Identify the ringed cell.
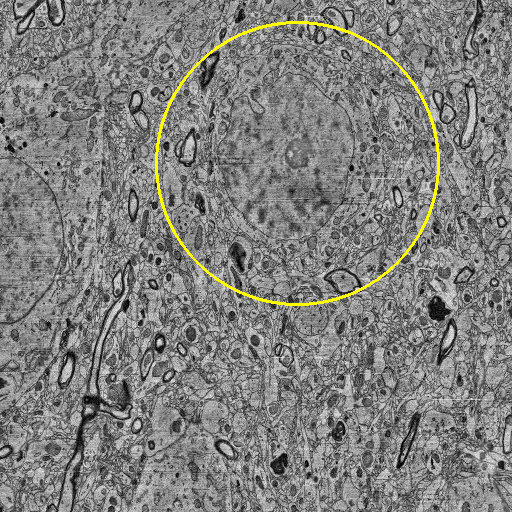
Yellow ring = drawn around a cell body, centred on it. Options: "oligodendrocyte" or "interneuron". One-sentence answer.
What the ring is centred on is an interneuron.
